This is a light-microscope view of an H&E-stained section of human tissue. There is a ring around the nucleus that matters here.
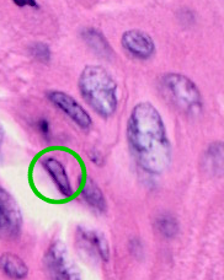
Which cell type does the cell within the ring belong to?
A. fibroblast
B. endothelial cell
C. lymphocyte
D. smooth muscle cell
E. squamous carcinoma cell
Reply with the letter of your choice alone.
E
